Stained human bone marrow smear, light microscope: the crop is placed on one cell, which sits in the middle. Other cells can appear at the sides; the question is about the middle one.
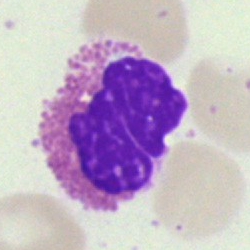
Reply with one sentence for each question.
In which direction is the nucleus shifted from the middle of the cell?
Toward the right of the cell lies its nucleus.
